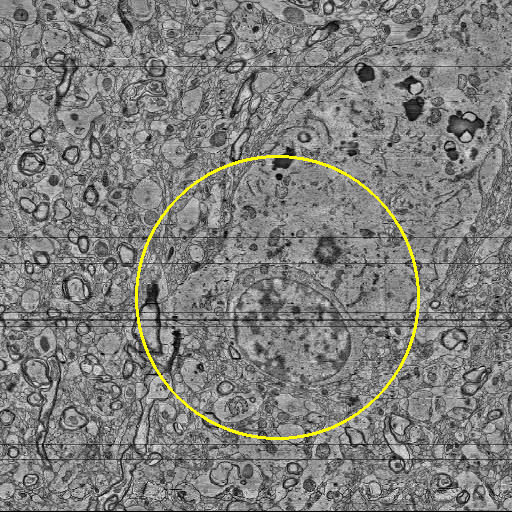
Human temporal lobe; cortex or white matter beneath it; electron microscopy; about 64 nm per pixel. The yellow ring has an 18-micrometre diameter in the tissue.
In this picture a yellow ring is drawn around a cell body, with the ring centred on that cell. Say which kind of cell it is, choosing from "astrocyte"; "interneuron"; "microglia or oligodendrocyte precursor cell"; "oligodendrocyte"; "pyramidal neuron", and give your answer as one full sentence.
Here it is an oligodendrocyte that sits at the centre of the drawn yellow ring.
